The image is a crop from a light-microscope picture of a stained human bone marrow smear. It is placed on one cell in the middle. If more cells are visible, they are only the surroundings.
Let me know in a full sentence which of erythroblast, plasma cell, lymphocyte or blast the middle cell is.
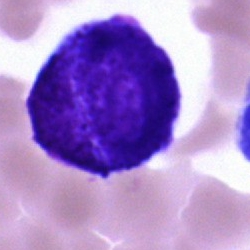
Present in the middle of the crop is a blast.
